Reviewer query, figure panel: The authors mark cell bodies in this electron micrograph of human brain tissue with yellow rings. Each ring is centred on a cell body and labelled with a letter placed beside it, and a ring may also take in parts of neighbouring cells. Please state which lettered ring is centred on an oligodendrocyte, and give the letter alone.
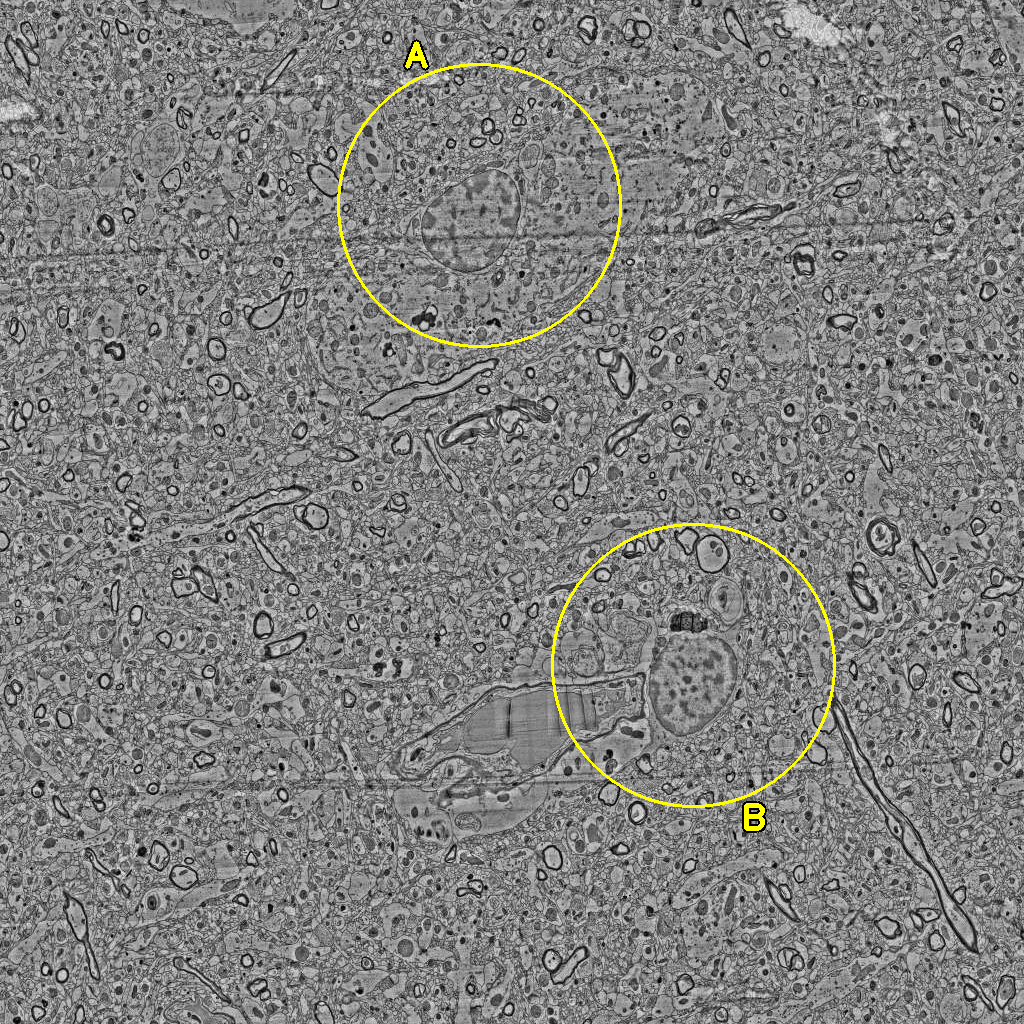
B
